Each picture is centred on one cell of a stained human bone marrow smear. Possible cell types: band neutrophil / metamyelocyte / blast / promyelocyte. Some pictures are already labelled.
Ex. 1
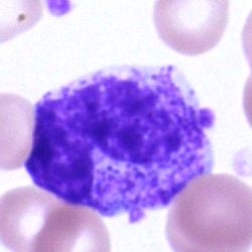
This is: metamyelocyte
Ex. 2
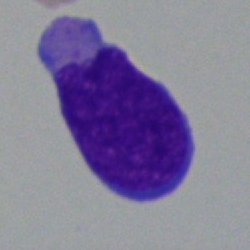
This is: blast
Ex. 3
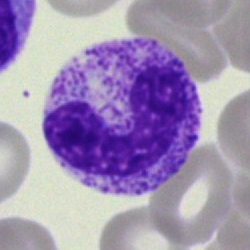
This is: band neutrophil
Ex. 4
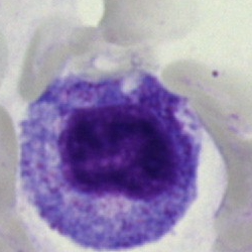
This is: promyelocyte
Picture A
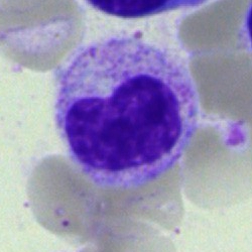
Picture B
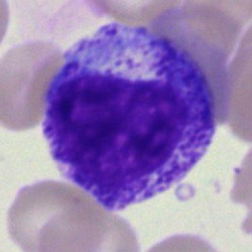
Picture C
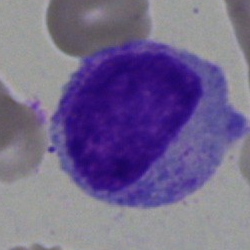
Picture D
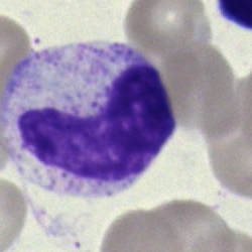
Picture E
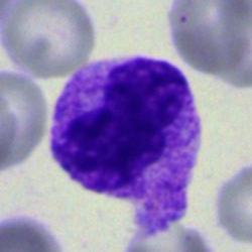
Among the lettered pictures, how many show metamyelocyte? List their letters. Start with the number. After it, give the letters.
Count: 3 (A, D, E)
